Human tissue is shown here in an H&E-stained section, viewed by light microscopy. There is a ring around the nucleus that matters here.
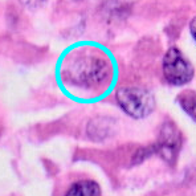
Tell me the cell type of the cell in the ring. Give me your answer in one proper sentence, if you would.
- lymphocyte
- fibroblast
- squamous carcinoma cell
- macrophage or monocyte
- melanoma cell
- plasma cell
In the context of this tissue, the cell in the ring is a melanoma cell.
